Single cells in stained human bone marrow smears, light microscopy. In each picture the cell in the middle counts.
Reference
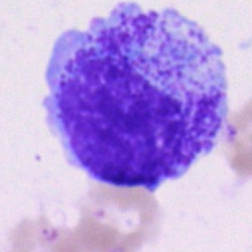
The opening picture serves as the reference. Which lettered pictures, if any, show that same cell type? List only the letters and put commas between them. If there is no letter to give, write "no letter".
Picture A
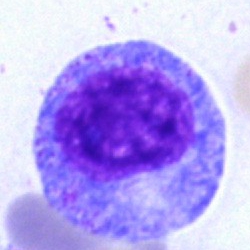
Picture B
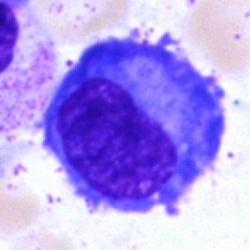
A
